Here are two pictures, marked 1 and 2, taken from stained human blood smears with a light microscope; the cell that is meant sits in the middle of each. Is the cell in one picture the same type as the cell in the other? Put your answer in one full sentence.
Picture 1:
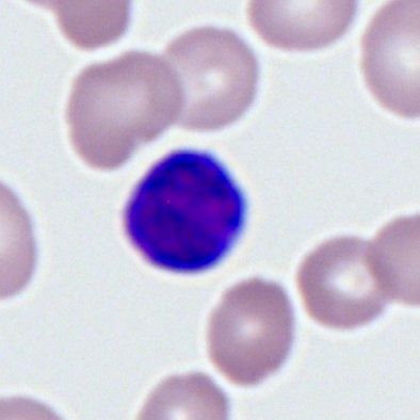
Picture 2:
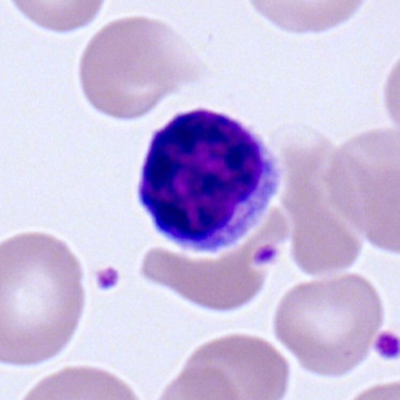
Yes, both cells are lymphocytes.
